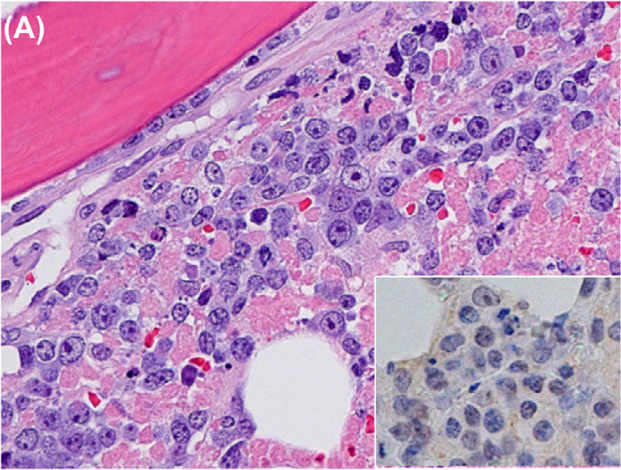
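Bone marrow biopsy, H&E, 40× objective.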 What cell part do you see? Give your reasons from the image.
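Many cells have large, round to oval nuclei with open chromatin. Distinct dark nucleoli stand out within these nuclei.
Prominent nucleoli.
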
